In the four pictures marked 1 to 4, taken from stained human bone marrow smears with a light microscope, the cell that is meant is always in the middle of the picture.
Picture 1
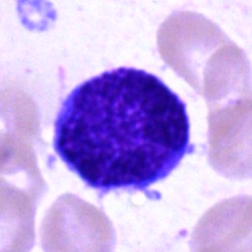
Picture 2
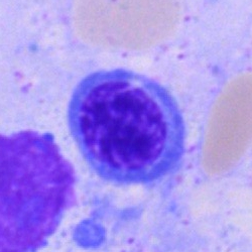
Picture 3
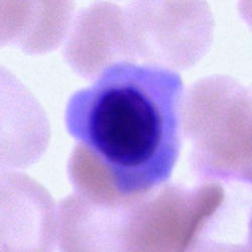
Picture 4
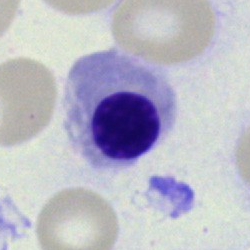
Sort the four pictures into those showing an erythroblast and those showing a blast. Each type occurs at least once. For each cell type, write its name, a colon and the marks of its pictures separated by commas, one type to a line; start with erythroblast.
erythroblast: 2, 3, 4
blast: 1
